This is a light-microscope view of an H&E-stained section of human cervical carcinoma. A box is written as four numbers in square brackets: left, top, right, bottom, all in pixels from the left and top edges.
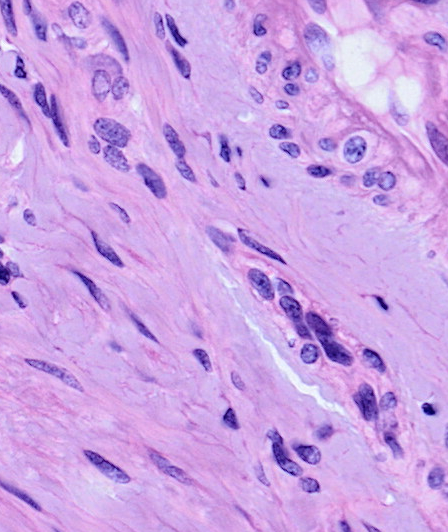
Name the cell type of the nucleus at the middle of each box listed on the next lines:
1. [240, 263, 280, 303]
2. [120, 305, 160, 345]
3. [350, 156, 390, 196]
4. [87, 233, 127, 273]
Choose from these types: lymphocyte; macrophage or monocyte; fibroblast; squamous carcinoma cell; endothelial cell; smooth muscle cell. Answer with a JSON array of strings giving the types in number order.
["endothelial cell", "fibroblast", "smooth muscle cell", "fibroblast"]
